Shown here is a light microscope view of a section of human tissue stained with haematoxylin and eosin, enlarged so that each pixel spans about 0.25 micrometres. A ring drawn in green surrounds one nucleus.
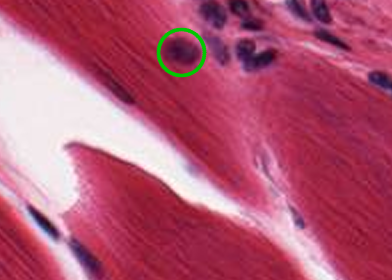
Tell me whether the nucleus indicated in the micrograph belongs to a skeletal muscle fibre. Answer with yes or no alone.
yes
